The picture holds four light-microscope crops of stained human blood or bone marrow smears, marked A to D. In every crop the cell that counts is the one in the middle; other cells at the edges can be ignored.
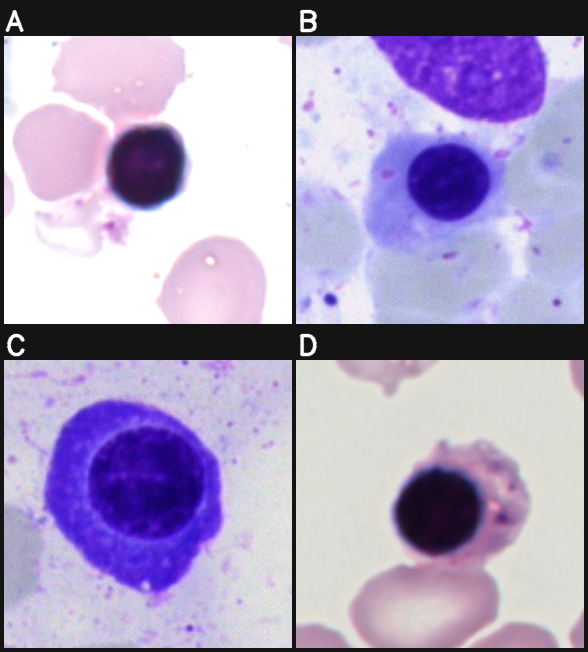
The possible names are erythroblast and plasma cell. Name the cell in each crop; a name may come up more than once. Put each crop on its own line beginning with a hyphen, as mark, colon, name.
- A: erythroblast
- B: erythroblast
- C: plasma cell
- D: erythroblast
